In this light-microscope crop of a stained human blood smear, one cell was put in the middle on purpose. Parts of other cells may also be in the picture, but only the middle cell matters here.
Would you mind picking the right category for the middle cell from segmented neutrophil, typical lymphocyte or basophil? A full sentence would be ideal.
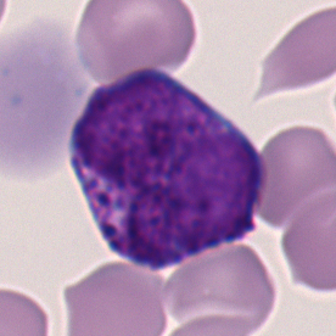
Standing at the centre of this crop is a basophil.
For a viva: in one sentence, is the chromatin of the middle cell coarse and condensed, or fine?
In this cell the chromatin is fine rather than coarsely clumped.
